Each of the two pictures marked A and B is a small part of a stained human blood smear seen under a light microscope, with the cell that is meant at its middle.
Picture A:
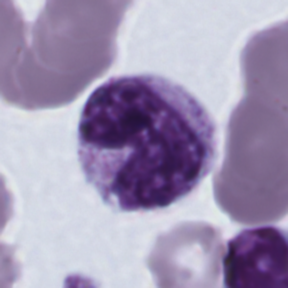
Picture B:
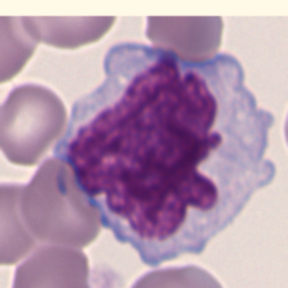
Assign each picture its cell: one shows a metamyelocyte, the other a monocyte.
A: metamyelocyte
B: monocyte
